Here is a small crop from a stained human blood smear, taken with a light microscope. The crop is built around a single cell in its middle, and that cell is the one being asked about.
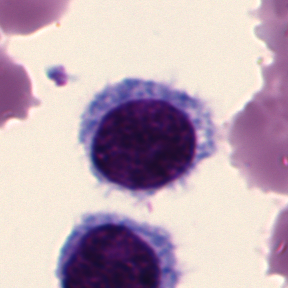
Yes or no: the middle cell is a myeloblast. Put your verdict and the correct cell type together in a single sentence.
No, the cell of interest here is a hairy cell and not a myeloblast.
